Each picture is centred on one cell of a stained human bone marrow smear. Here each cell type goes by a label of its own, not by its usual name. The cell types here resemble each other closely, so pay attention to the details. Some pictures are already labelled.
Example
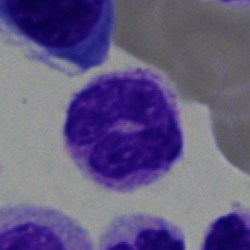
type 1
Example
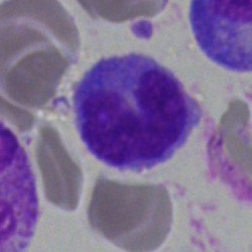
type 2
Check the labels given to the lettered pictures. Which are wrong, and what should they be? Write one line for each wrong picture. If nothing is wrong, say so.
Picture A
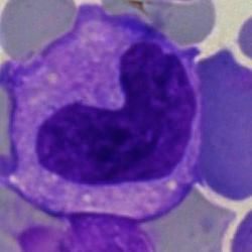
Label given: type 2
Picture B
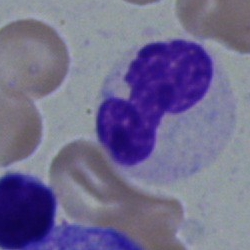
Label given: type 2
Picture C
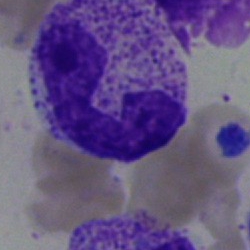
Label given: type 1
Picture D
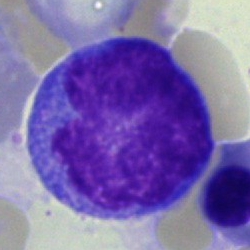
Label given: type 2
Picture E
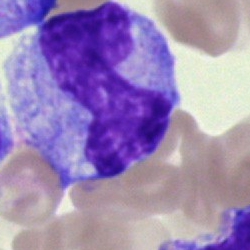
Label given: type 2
B: type 1, not type 2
